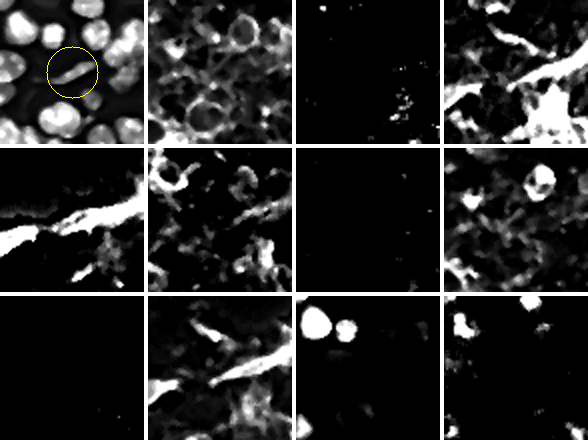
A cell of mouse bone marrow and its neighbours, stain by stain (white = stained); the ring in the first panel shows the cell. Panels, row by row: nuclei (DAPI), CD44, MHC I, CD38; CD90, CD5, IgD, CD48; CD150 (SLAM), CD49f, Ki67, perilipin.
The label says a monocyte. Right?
Wrong: this is a capillary endothelial cell.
